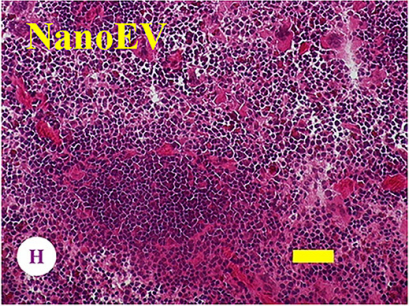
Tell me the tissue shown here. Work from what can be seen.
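A dense nodule of small dark round nuclei in the lower left. Paler surrounding tissue with scattered red-stained areas. The answer: spleen.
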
